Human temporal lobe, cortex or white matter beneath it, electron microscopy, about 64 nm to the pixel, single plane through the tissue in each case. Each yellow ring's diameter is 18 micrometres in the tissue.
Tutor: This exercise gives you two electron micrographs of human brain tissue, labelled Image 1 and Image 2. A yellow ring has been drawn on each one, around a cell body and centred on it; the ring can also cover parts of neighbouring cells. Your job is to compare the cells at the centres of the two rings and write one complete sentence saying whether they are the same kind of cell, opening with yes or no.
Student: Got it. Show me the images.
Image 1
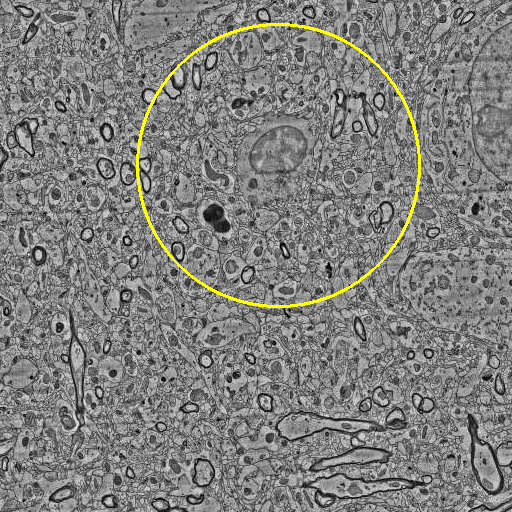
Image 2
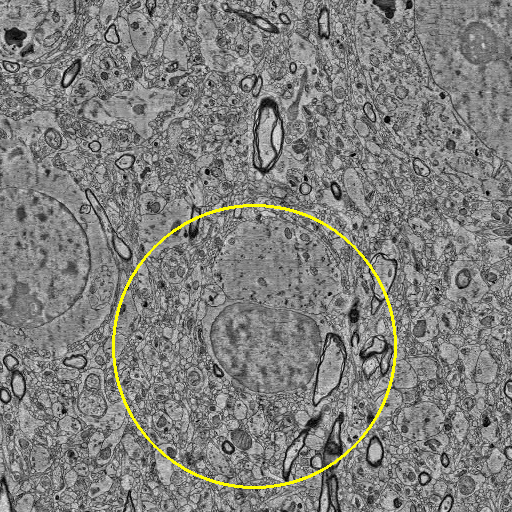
Yes, the two cells belong to the same kind.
